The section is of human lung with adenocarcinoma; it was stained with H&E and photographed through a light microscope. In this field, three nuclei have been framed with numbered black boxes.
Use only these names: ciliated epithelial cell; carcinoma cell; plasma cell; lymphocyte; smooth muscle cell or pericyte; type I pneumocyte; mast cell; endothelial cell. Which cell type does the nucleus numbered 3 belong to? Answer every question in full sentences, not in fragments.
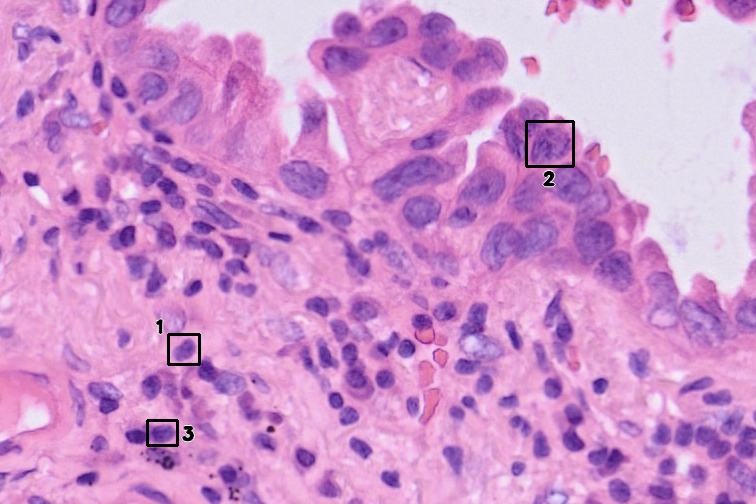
Marked with the number 3, this cell is a lymphocyte.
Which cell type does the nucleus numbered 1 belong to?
The marked cell bearing number 1 is a lymphocyte.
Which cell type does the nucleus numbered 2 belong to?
Identified as a carcinoma cell is the cell bearing the number 2.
